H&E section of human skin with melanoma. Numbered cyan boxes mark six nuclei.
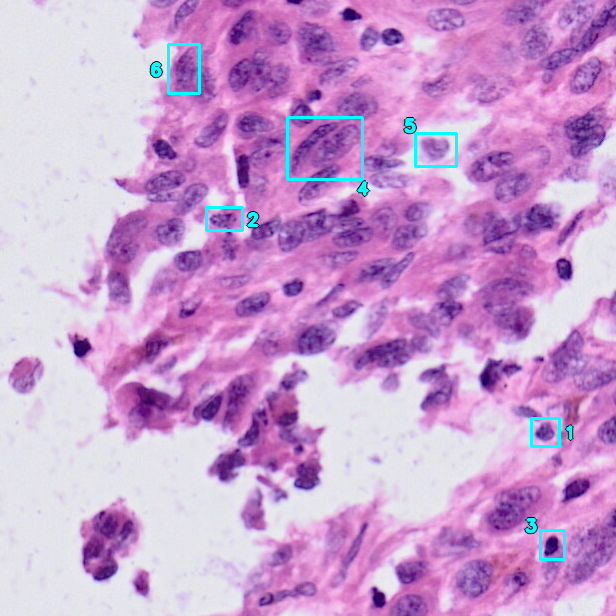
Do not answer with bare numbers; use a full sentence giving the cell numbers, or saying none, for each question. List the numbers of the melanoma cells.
The cells carrying the numbers 2, 4, 5 and 6 are melanoma cells.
